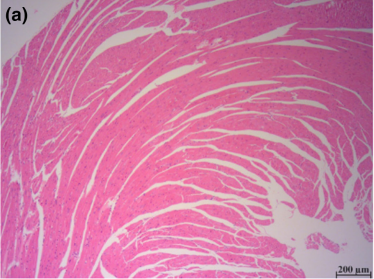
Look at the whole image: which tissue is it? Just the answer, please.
cardiac tissue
